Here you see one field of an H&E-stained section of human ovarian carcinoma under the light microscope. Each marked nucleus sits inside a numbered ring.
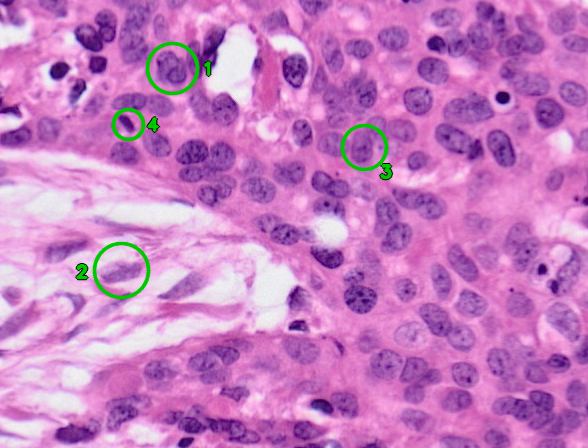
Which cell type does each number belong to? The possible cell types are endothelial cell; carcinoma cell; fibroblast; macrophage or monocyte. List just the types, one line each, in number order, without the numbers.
carcinoma cell
fibroblast
carcinoma cell
carcinoma cell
